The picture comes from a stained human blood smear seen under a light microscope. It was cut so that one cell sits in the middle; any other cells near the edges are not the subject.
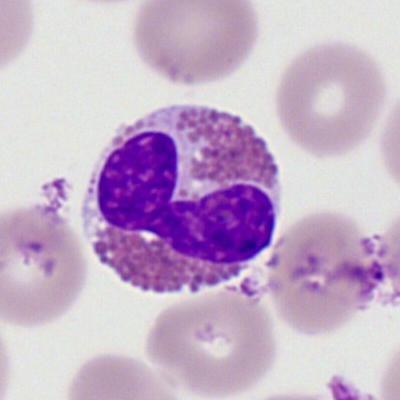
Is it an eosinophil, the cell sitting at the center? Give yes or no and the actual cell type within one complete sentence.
Yes, the cell of interest in the middle is an eosinophil.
